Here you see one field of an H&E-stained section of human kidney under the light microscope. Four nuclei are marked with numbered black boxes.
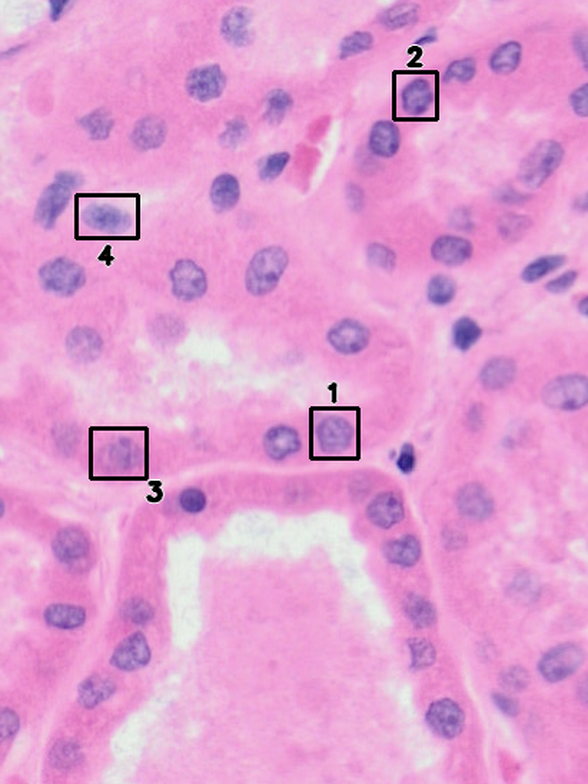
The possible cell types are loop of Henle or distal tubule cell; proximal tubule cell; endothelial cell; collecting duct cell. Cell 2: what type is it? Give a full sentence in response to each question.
The numeral 2 marks a proximal tubule cell in this section.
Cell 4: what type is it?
Cell 4 in the field is an endothelial cell.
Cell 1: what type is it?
Recognised here as a proximal tubule cell is the cell numbered 1.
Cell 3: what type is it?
To a proximal tubule cell belongs the nucleus marked 3.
